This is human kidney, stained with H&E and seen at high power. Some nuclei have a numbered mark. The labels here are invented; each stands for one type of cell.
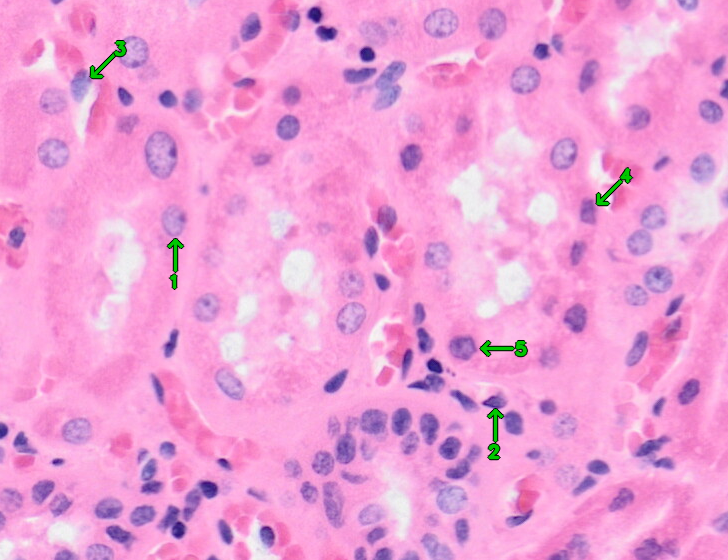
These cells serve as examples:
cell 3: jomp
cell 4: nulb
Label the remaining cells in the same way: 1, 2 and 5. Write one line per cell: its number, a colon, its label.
1: nulb
2: jomp
5: nulb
